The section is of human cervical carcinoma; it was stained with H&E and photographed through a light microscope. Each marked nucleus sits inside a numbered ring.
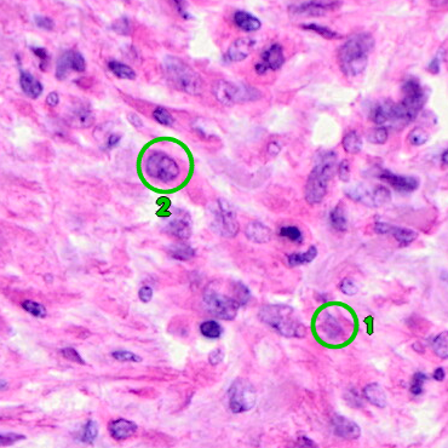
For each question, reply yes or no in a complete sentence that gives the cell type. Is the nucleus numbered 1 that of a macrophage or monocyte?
No, it is a fibroblast, not a macrophage or monocyte, at number 1.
